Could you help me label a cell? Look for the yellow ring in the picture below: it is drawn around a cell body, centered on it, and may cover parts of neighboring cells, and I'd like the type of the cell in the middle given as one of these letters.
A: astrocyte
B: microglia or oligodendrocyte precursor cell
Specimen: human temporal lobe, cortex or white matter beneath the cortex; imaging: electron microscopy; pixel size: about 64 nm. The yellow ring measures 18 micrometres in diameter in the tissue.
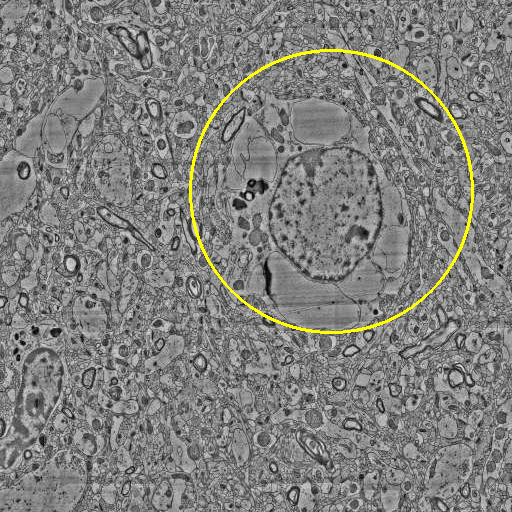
A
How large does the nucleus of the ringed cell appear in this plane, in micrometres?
Roughly 9 by 7 micrometres in this plane, for the nucleus of the ringed cell.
